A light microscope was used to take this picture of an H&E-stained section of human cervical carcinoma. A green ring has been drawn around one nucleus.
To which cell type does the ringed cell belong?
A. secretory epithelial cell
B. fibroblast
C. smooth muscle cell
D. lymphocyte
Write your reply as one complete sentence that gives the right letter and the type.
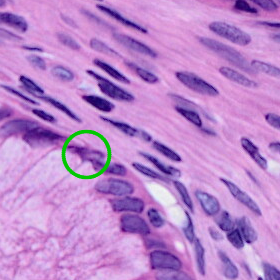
What option A states, that the ringed cell is a secretory epithelial cell, is correct.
